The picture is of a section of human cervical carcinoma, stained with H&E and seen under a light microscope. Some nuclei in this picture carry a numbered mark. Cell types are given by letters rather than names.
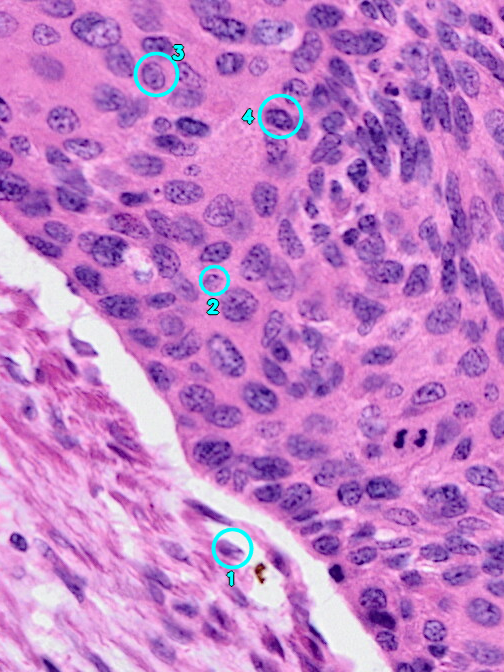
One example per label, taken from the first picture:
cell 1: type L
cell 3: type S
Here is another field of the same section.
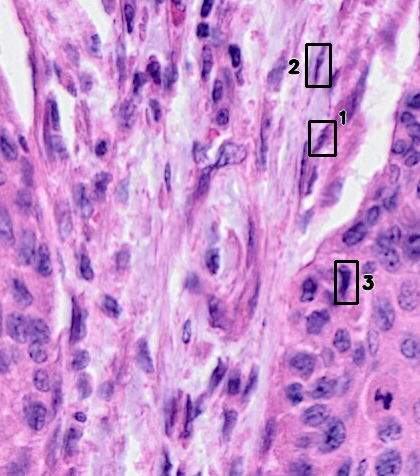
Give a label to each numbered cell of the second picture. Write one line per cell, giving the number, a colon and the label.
1: type L
2: type L
3: type S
